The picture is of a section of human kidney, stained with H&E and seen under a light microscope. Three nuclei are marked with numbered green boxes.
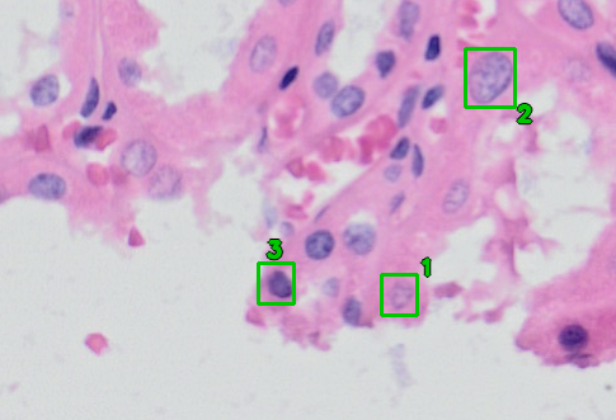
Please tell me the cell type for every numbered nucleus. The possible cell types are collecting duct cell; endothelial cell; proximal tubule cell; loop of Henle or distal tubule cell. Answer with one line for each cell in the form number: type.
1: proximal tubule cell
2: proximal tubule cell
3: loop of Henle or distal tubule cell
